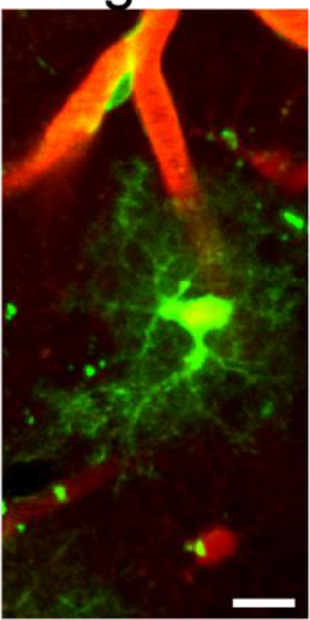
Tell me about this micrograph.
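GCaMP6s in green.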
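A single green cell sits in the centre, with a bright cell body and a dense, bushy halo of fine branching processes spreading in all directions. Branching red vessels run across the top of the field, and one thick process of the green cell extends toward a vessel. Small bright green dots are scattered through the background, and a small red rounded body lies near the bottom. The bushy, finely branched form of the central cell and its contact with a vessel mark it as an astrocyte.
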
